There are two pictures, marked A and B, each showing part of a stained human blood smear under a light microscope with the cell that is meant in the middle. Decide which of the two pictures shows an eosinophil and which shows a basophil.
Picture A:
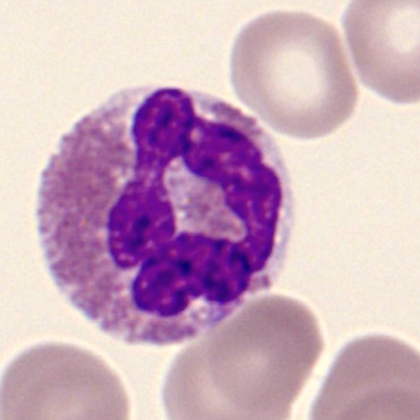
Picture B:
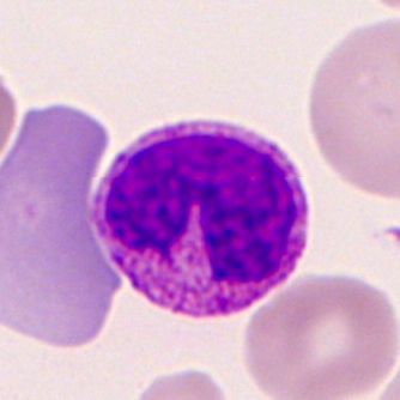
A: eosinophil
B: basophil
